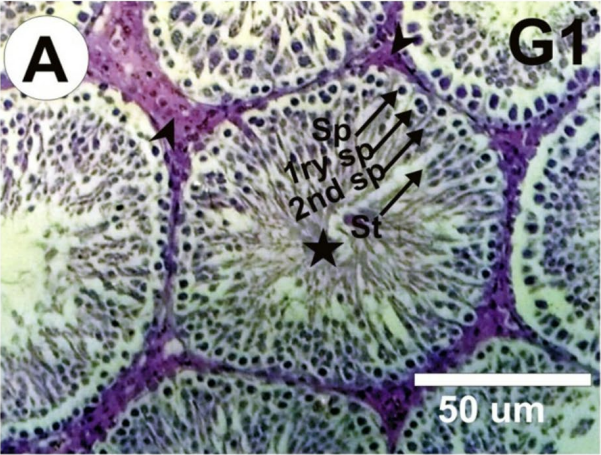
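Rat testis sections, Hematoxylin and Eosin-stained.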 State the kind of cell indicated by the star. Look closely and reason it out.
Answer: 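The star lies in the centre of a round tubule. Fine thread-like tails fill the lumen and radiate toward the centre. The answer: sperms.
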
